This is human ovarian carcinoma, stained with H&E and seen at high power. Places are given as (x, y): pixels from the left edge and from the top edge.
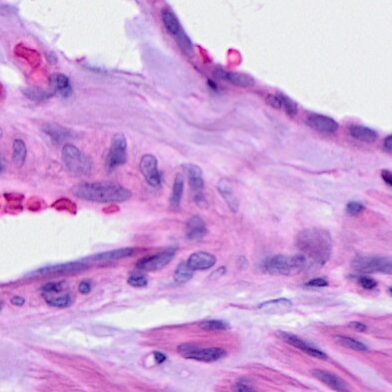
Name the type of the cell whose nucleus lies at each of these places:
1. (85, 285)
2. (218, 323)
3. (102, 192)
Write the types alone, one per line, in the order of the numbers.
smooth muscle cell
smooth muscle cell
endothelial cell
